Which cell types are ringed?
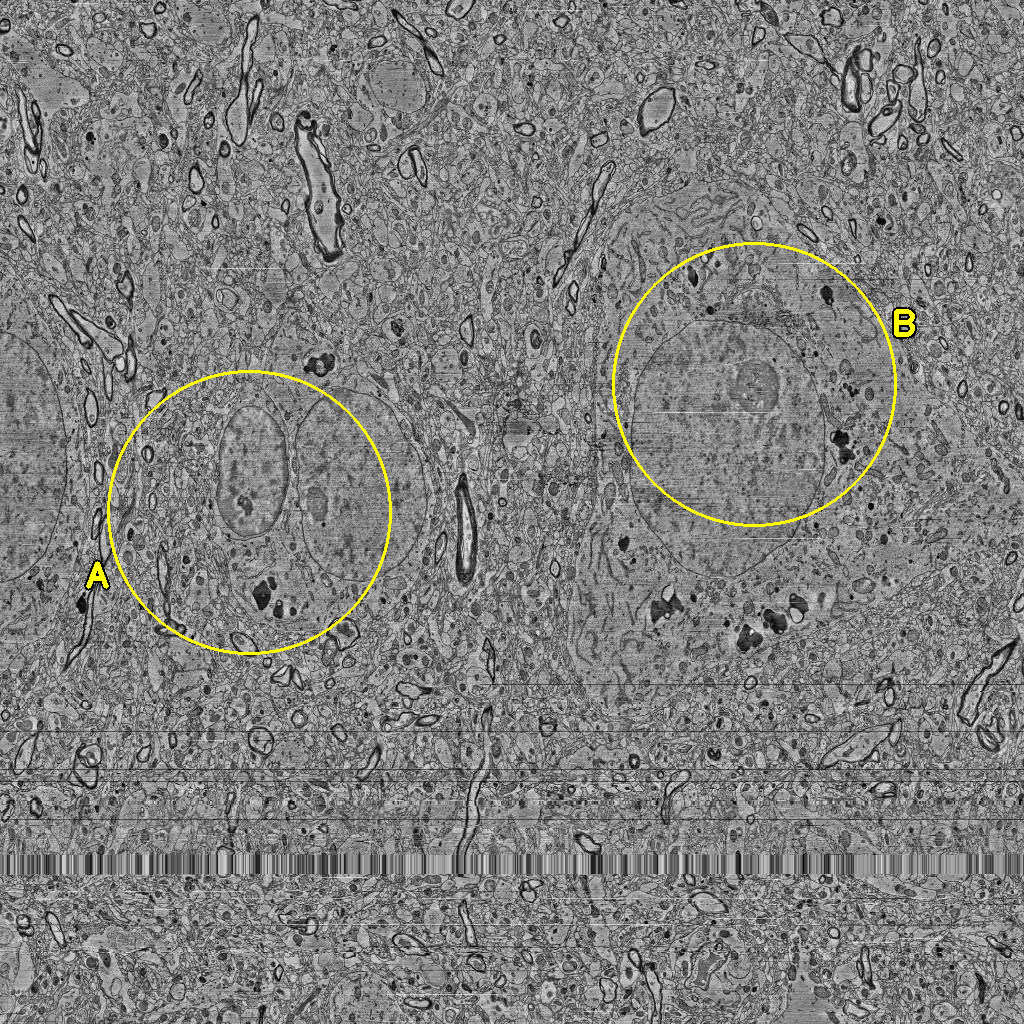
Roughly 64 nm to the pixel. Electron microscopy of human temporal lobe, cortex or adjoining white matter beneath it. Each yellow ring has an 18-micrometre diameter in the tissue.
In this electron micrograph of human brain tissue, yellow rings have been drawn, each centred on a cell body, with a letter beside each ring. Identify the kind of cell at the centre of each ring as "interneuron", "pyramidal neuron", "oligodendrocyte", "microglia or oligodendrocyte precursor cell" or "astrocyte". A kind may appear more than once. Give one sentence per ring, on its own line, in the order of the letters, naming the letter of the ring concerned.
Ring A is drawn on an oligodendrocyte.
Ring B is drawn on a pyramidal neuron.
